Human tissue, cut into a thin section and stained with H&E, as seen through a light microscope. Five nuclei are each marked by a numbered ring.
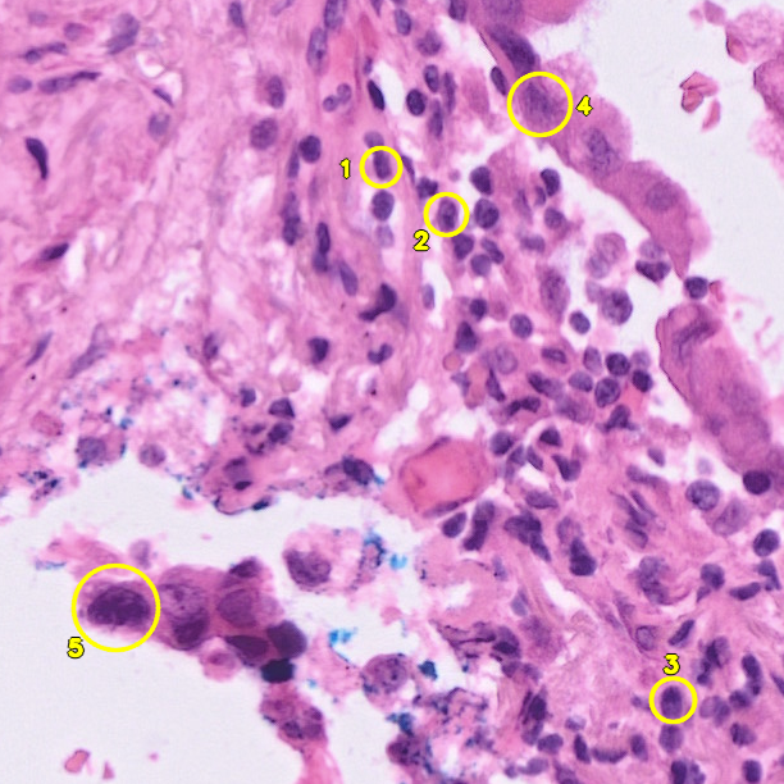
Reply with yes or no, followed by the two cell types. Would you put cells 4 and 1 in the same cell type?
No, the correct reading has cell 4 as a carcinoma cell and cell 1 as a lymphocyte.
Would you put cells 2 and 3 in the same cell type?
Yes, cell 2 is counted among the lymphocytes, as is cell 3.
